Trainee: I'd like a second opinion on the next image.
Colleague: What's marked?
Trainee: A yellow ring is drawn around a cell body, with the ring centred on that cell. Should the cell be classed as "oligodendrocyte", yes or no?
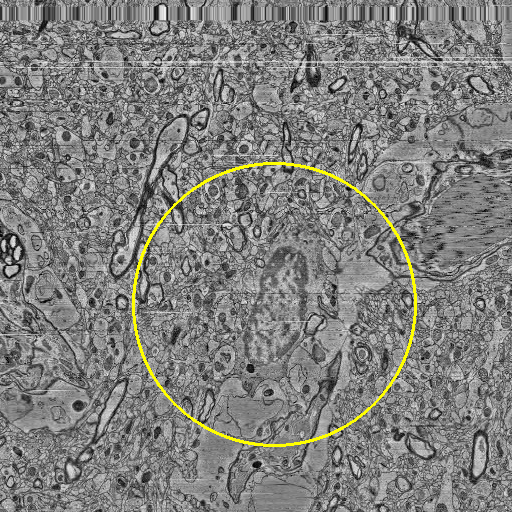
Yes, it should.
